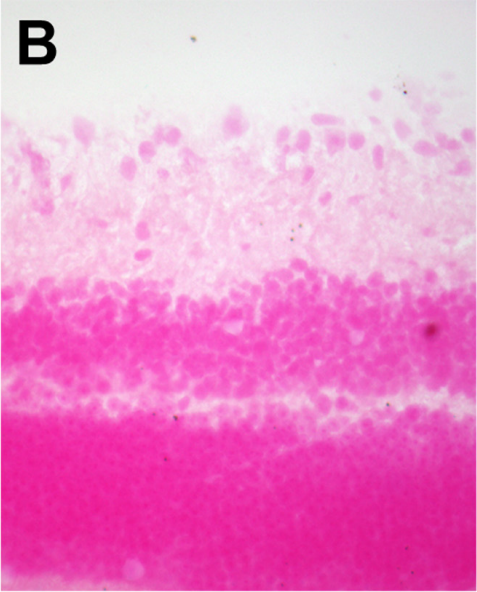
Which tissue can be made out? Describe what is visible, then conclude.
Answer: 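Nuclei are stacked in distinct horizontal layers. A sparse row of nuclei at the top is separated by a pale band from a thick multi-row nuclear layer. The bottom band is a very densely packed nuclear layer. The answer: retina.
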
